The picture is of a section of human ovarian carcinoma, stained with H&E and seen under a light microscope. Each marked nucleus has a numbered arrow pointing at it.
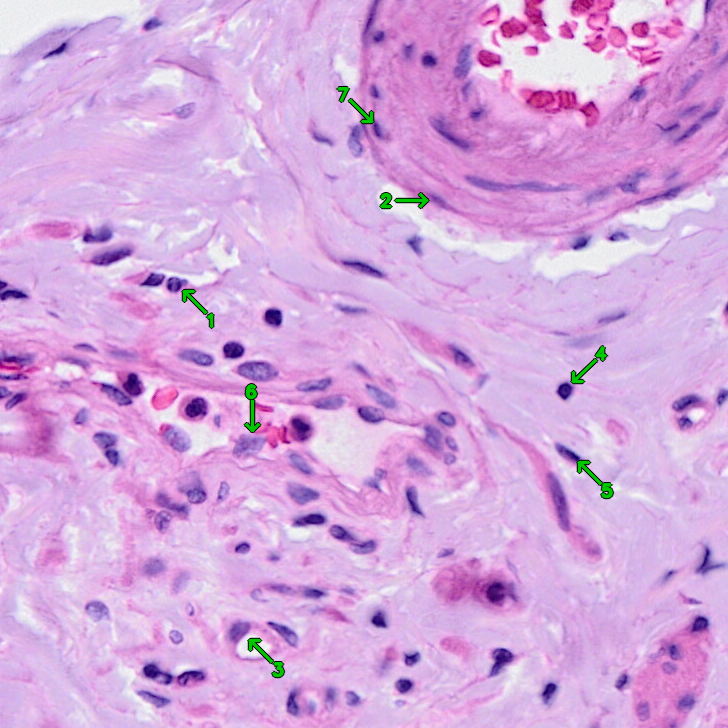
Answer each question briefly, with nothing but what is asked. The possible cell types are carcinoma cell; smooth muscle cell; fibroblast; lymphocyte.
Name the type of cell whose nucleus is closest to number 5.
smooth muscle cell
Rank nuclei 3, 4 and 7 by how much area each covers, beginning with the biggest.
3, 4, 7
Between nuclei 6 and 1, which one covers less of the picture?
1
